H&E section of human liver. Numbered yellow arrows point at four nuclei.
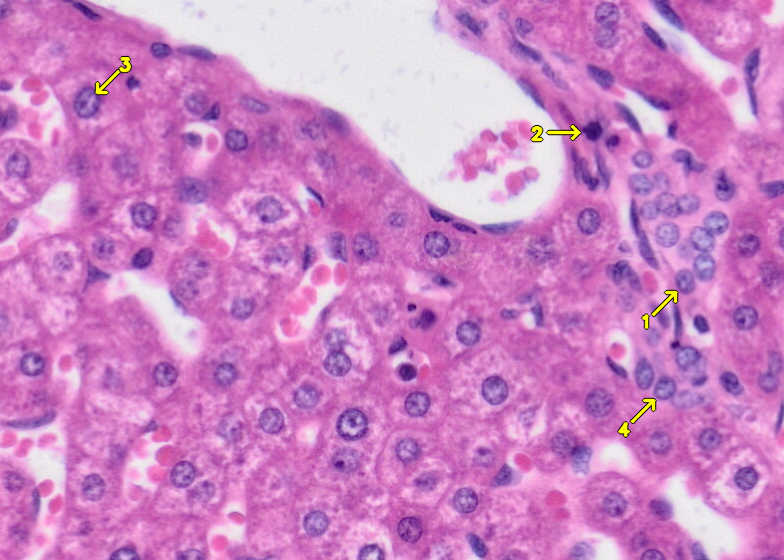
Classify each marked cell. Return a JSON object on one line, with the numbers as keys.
{"1": "cholangiocyte", "2": "fibroblast or stellate cell", "3": "hepatocyte", "4": "cholangiocyte"}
